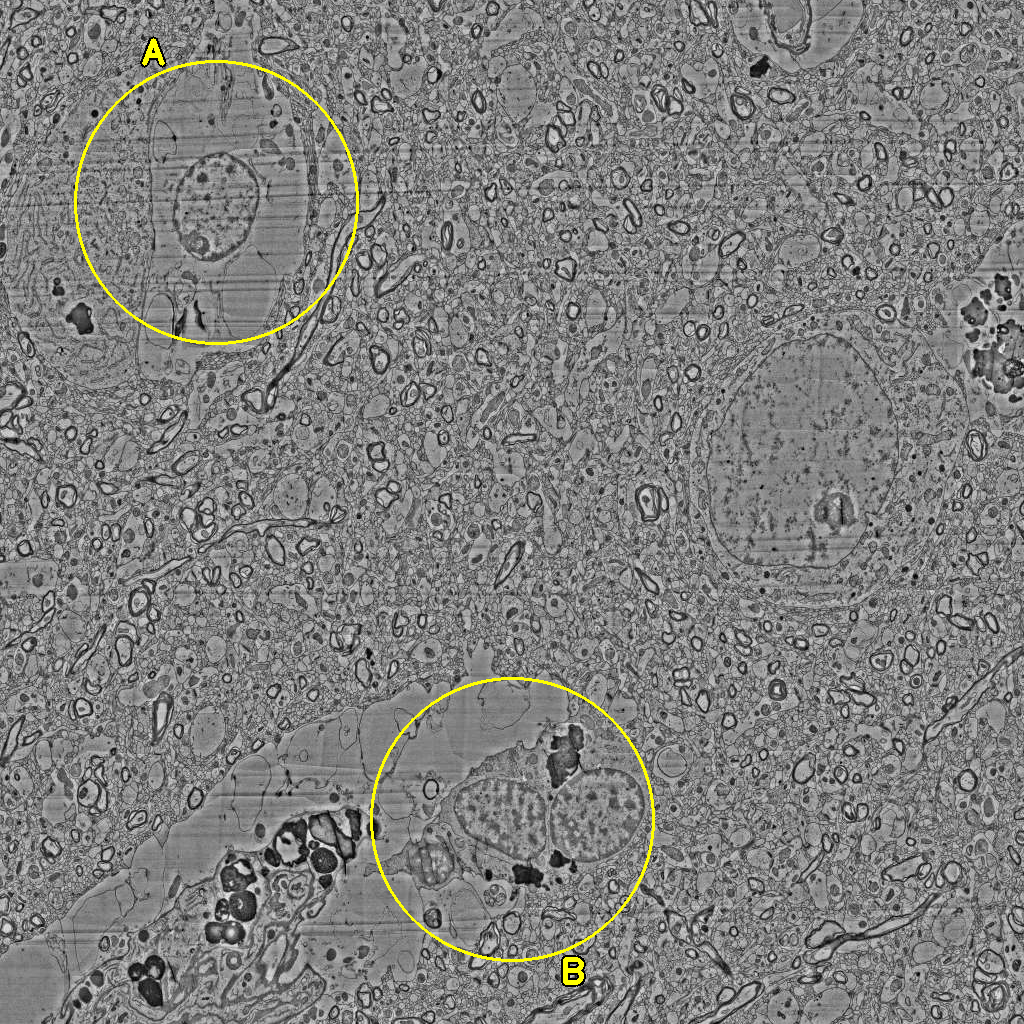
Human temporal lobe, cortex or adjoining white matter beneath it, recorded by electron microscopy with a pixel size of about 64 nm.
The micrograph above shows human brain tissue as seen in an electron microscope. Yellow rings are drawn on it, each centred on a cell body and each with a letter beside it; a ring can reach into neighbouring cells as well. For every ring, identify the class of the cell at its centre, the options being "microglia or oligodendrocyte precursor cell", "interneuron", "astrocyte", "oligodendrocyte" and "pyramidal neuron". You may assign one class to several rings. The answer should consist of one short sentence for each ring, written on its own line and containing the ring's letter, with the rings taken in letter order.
The ring lettered A is centred on an astrocyte.
The ring lettered B is centred on an oligodendrocyte.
